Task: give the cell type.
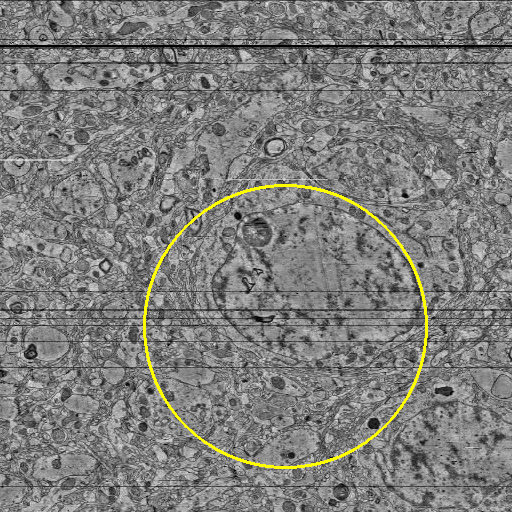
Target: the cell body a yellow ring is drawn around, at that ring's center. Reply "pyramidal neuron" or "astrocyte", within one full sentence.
In this picture, the cell whose body lies at the ring's center is a pyramidal neuron.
